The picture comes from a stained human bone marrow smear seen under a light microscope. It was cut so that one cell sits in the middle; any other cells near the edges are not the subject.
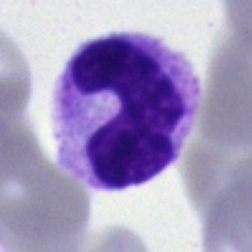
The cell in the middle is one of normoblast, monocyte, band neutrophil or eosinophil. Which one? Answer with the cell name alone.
band neutrophil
